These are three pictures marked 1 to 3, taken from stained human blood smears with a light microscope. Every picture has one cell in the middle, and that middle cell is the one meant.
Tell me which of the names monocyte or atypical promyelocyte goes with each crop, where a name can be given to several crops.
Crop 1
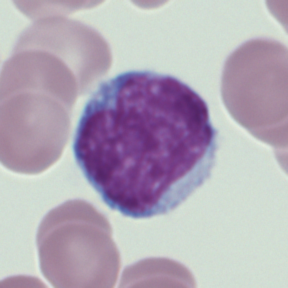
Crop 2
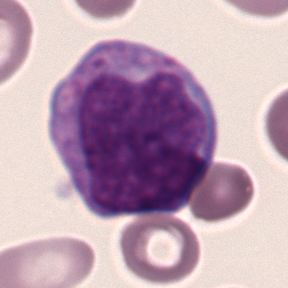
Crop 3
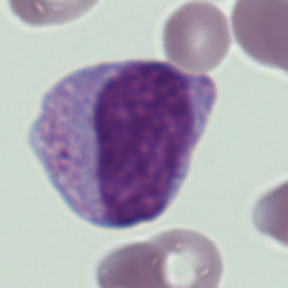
1: monocyte
2: atypical promyelocyte
3: atypical promyelocyte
